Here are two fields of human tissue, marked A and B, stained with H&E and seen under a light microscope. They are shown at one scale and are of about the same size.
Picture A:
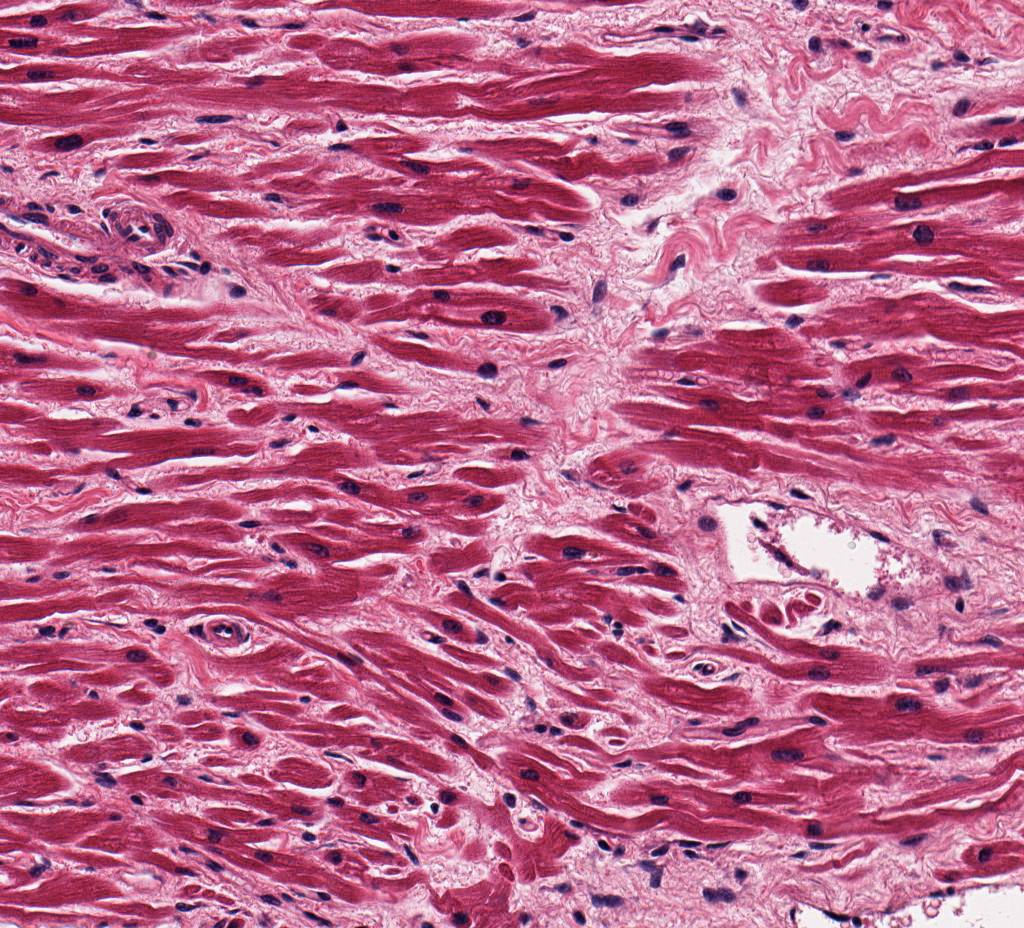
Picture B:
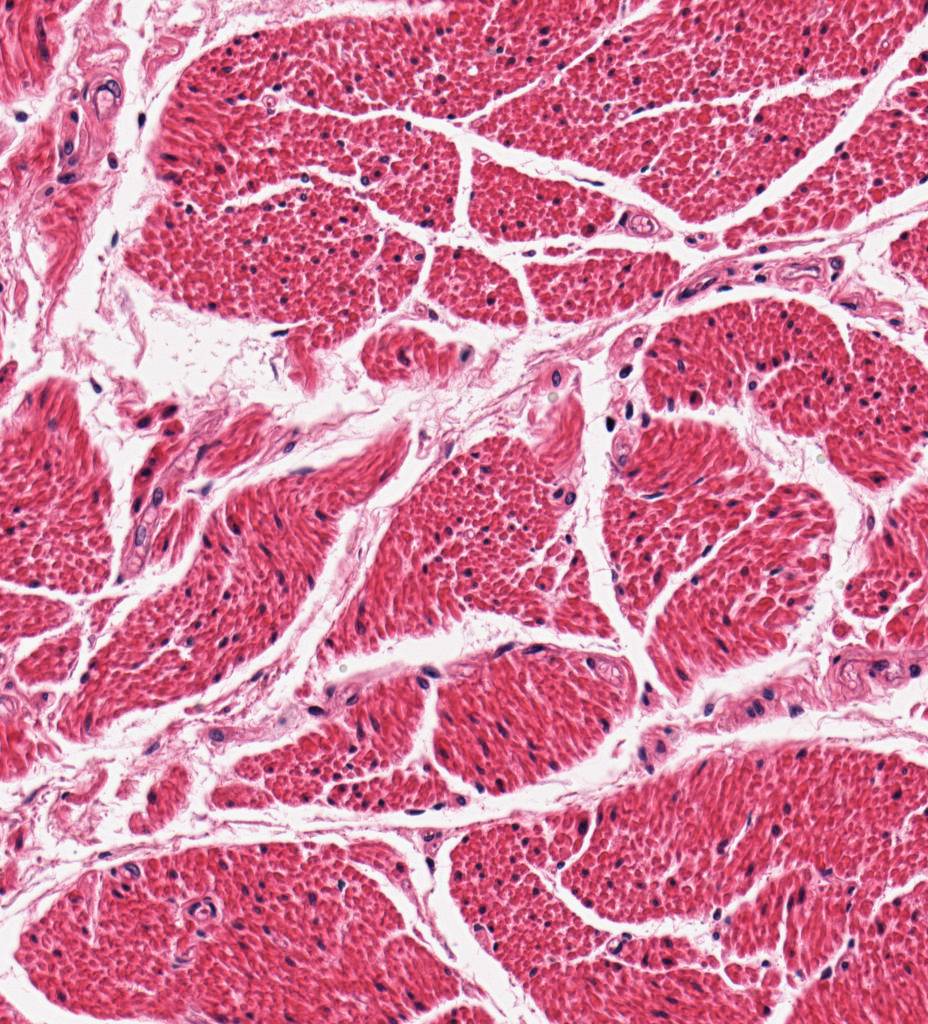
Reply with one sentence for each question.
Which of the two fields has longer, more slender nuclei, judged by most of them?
It is picture A whose nuclei are the more elongated.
